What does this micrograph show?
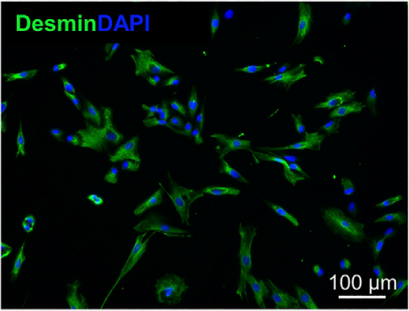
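Scattered single cells in culture lie apart from one another on a dark background, each with one oval blue nucleus surrounded by green cytoplasm. The cells are spindle-shaped, triangular or stellate, some with thin tapering processes. The green stain fills the cytoplasm with a fibrous look, while the nuclei are central and of similar size.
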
